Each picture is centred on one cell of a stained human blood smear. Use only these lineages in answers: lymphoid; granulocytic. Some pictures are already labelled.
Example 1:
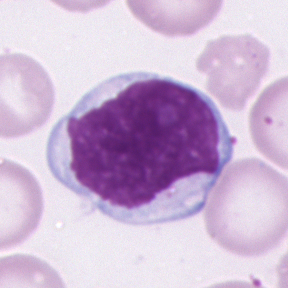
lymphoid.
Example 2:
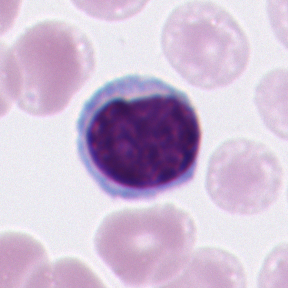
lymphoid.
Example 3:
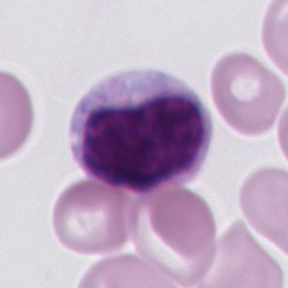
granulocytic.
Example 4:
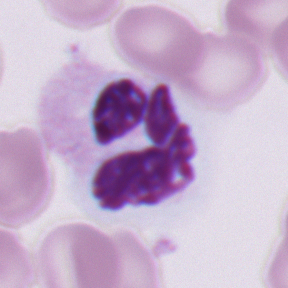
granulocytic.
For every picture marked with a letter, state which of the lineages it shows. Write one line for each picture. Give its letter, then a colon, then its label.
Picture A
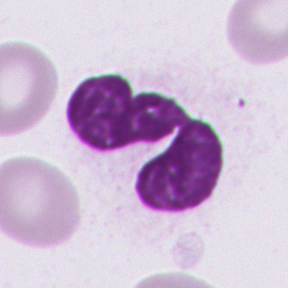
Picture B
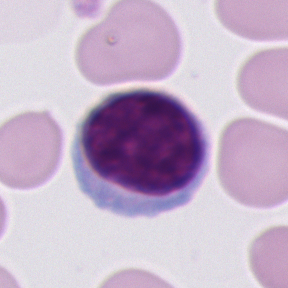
A: granulocytic.
B: lymphoid.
